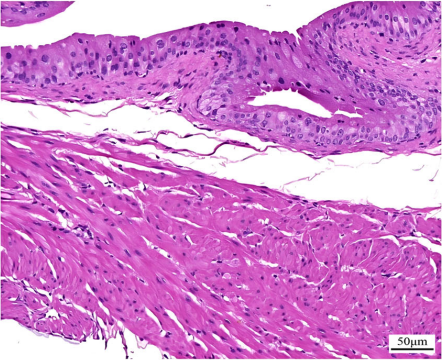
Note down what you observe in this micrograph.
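A bladder wall in cross section: above, a thick multilayered epithelium of tightly packed cells with round purple nuclei and pale pink cytoplasm, folded on itself. Below a thin cleft and a narrow band of loose connective tissue lies a broad layer of deep pink smooth muscle, its bundles running in several directions with elongated nuclei. The subepithelial layer is thin, without wide pale spaces, and no clusters of small dark cells or spilled red cells are seen.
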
